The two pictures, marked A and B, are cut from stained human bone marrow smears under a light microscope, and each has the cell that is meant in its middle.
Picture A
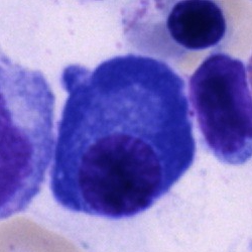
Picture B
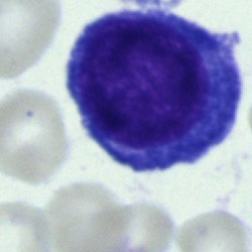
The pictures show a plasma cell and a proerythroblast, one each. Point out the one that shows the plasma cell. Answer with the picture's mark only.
A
